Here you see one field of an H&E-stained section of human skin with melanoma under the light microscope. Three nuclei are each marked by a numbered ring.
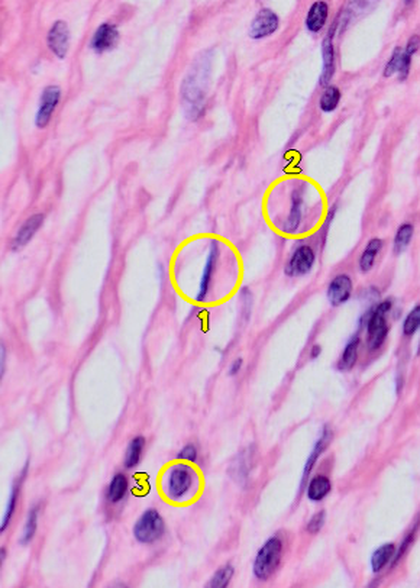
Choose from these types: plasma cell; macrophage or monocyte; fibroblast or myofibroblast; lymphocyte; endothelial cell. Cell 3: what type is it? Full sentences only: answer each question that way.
Cell 3 is classified as a plasma cell.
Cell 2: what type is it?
The mark numbered 2 indicates the nucleus of a fibroblast or myofibroblast.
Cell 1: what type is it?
The cell bearing label 1 corresponds to a fibroblast or myofibroblast.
